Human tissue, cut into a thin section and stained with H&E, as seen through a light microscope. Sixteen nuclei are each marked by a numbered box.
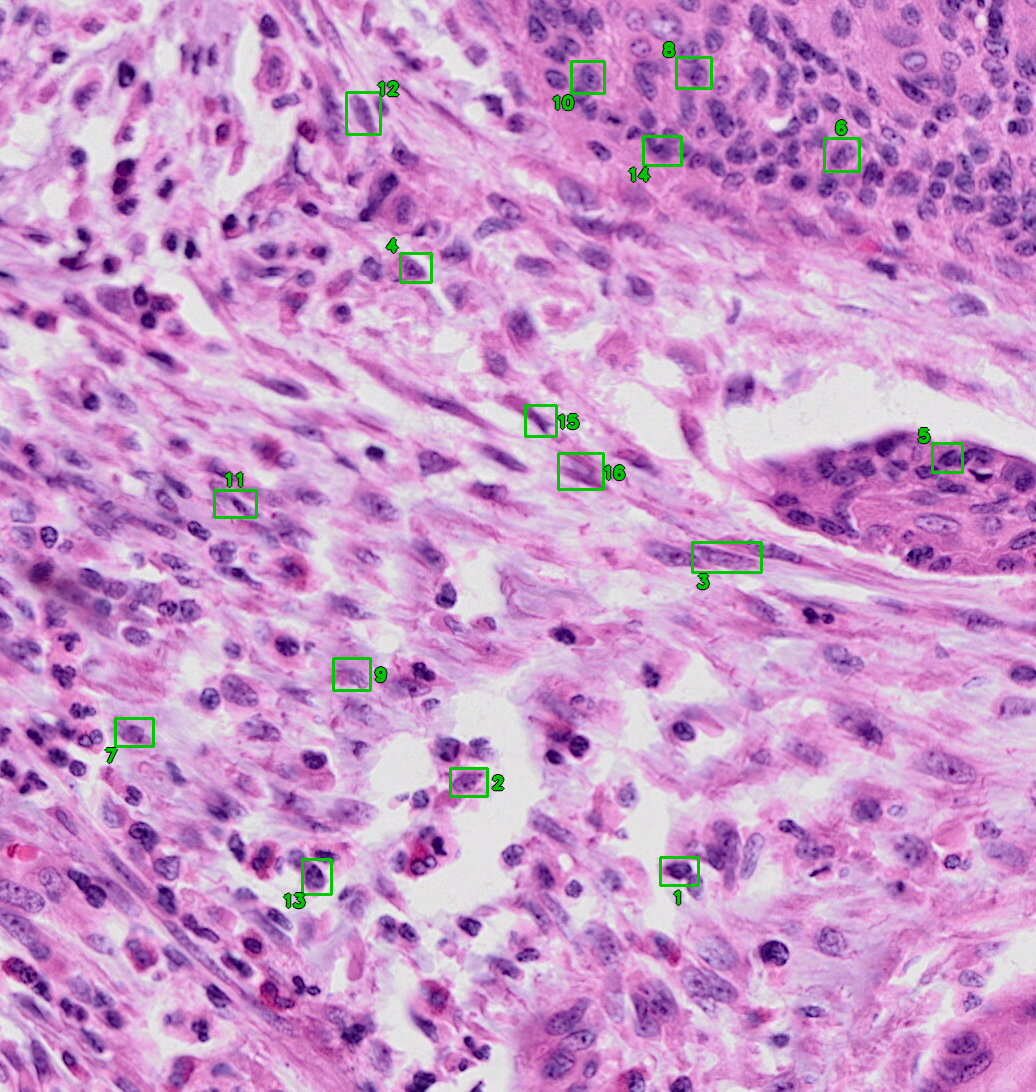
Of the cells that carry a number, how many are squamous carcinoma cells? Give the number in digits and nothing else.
5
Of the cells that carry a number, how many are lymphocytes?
2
